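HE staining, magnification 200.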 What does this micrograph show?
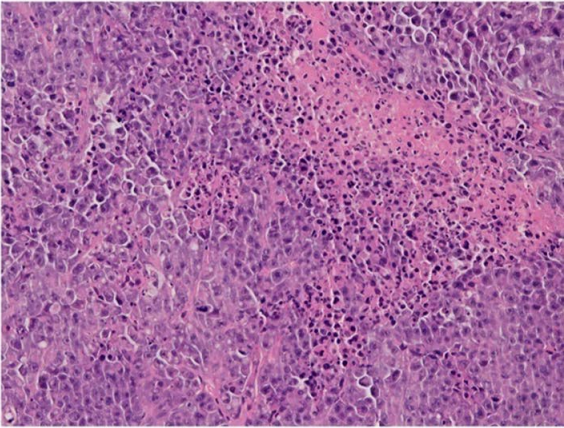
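The tumour cells have purple cytoplasm, distinct borders and nuclei of varying size and shape. Running diagonally across the field and in the upper right are strongly eosinophilic pink areas. In these pink areas the nuclei are small, dark and condensed and cell outlines are blurred, consistent with dead cells. Viable tumour sheets with larger, paler nuclei surround these zones.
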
